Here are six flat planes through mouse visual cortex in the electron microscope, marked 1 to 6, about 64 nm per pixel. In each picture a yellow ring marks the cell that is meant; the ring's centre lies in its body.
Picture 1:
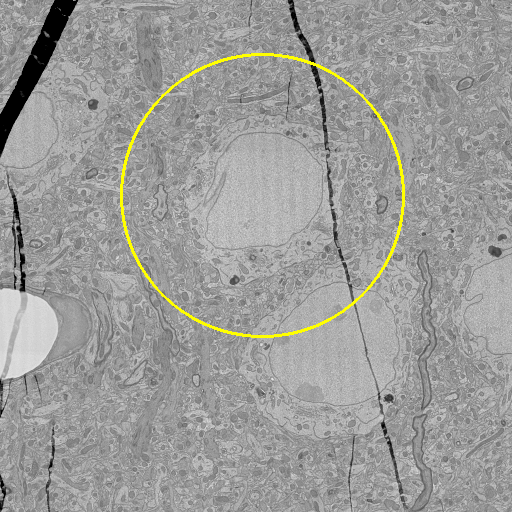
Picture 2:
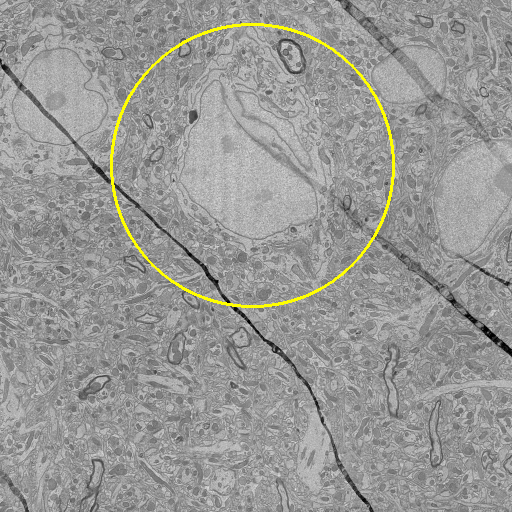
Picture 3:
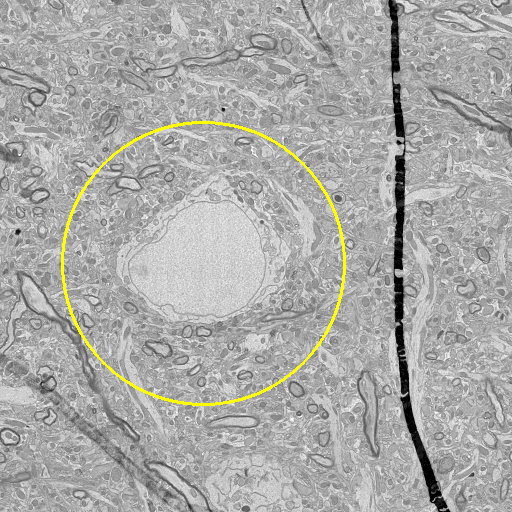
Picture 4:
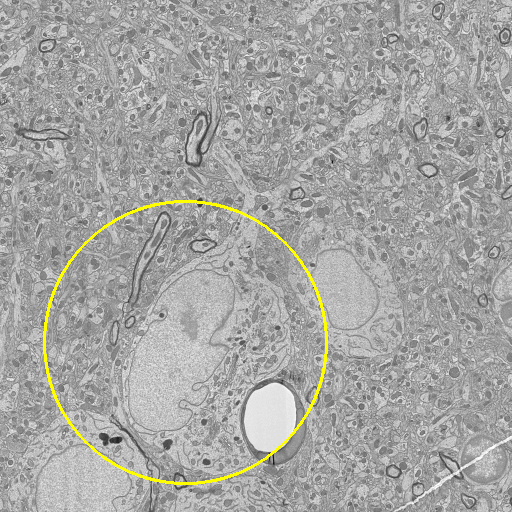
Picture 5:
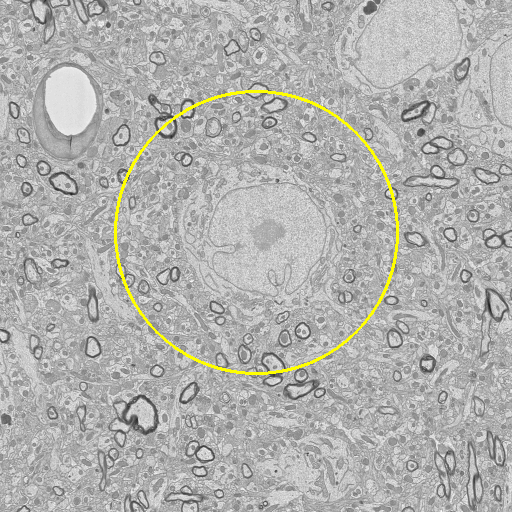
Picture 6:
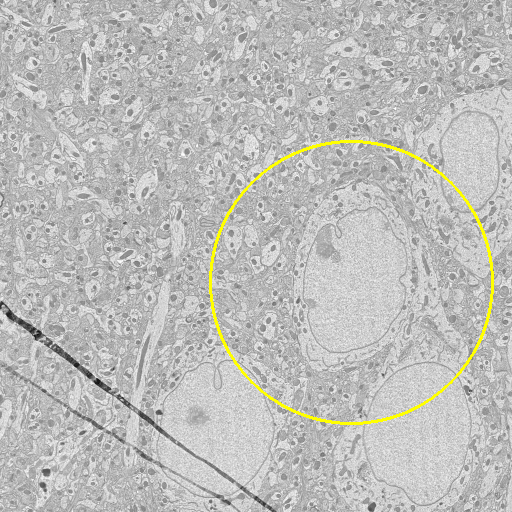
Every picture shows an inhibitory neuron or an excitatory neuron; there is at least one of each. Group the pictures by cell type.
Pictures 2, 4 and 5 show inhibitory neurons, and pictures 1, 3 and 6 show excitatory neurons.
